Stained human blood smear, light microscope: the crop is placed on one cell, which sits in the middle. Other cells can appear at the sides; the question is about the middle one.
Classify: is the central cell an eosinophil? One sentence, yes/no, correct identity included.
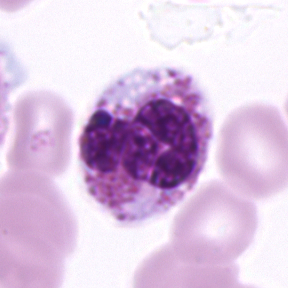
Yes, the cell at the center of the crop is an eosinophil.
